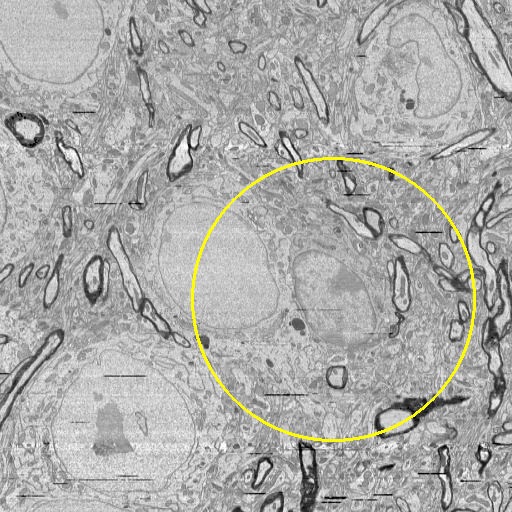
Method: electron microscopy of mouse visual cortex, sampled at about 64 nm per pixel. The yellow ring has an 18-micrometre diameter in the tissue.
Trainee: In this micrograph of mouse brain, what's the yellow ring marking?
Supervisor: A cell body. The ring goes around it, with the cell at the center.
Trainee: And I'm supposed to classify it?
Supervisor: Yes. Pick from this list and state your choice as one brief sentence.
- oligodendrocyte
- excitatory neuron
The cell at the ring's center is an oligodendrocyte.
